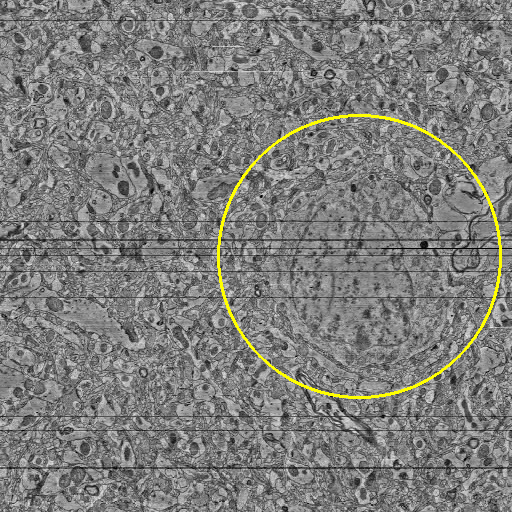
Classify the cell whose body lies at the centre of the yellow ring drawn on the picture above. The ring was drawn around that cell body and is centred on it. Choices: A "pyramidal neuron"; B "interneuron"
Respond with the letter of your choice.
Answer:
B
